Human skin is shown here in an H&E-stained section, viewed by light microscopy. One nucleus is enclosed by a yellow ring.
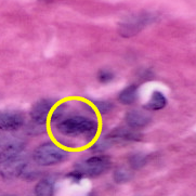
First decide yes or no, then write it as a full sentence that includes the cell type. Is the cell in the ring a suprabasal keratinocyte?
No, the cell in the ring is correctly named a basal keratinocyte; it is not a suprabasal keratinocyte.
